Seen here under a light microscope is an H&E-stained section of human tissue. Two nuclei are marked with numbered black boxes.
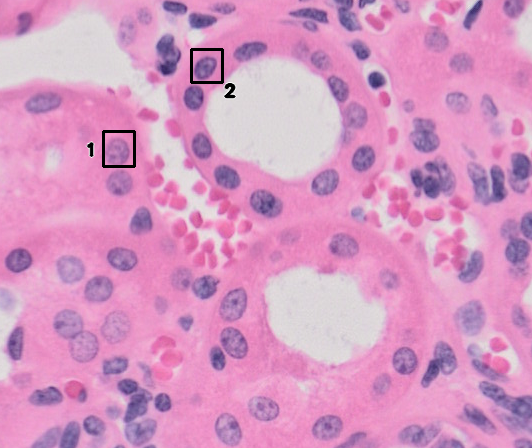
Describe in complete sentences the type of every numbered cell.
Cell 1 is a proximal tubule cell. Cell 2 is a collecting duct cell.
